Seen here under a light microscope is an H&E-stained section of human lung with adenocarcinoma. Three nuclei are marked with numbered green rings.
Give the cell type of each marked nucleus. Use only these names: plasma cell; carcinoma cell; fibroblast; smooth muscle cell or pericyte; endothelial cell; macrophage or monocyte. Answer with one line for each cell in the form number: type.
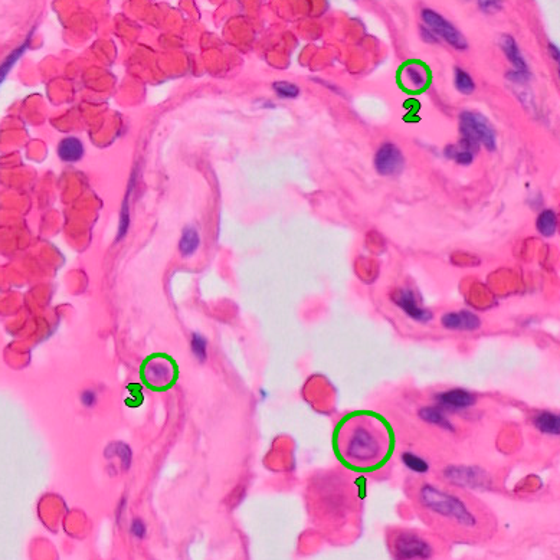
1: macrophage or monocyte
2: endothelial cell
3: smooth muscle cell or pericyte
